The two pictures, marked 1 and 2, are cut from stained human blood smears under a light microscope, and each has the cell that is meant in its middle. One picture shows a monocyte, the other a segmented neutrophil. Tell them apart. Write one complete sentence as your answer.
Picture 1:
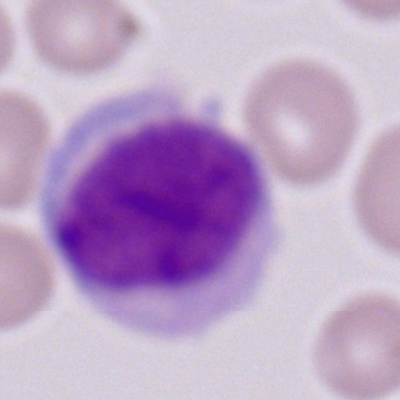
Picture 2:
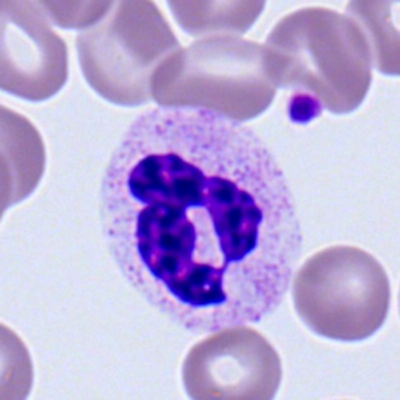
Picture 1 shows a monocyte and picture 2 shows a segmented neutrophil.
